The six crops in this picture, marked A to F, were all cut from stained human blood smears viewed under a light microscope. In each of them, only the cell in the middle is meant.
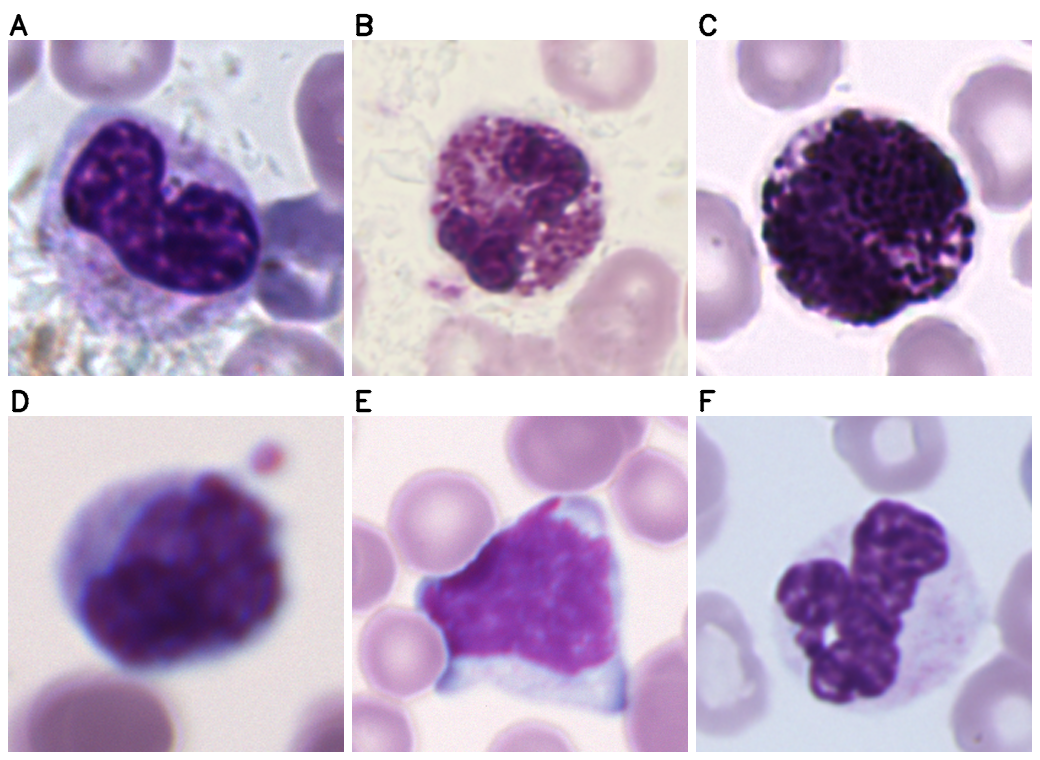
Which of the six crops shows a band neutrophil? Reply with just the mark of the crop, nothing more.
A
